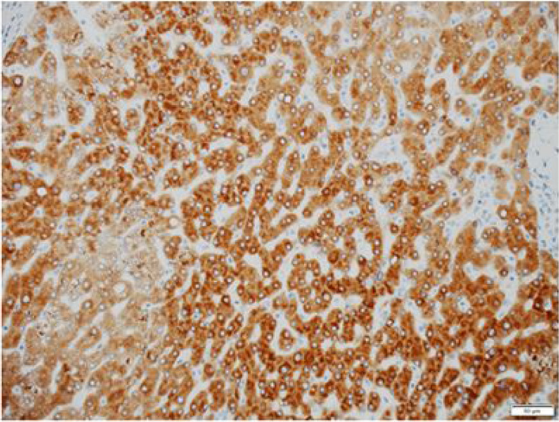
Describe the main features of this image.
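Liver tissue with hepatocytes arranged in anastomosing plates one to two cells thick, separated by clear sinusoidal spaces. Small blue elongated nuclei of lining cells lie along the sinusoids. Toward the lower left the brown colour becomes paler and the cytoplasm looks lighter and vacuolated, and at the right edge a band of fibrous tissue with scattered blue nuclei borders the hepatocyte plates.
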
